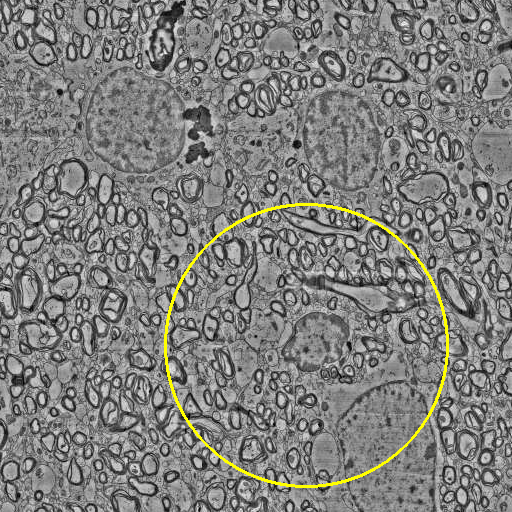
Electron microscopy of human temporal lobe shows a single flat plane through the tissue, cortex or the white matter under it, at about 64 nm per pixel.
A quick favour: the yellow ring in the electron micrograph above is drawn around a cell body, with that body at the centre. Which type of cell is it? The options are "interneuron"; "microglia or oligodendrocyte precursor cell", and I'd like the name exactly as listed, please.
microglia or oligodendrocyte precursor cell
